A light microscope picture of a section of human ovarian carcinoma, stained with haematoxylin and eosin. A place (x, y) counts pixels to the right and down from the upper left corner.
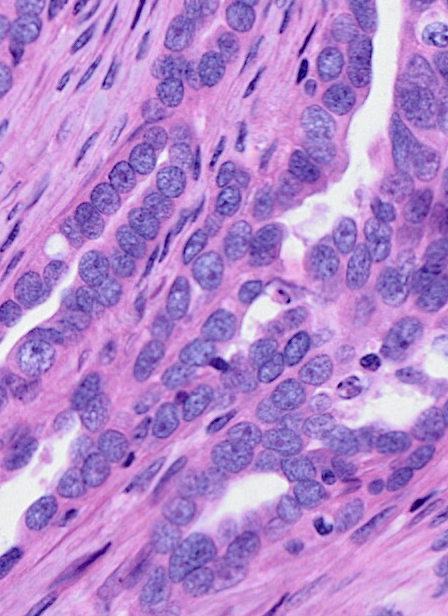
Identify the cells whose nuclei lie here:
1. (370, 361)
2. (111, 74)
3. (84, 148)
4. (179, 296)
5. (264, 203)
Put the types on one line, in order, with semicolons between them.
lymphocyte; fibroblast; fibroblast; carcinoma cell; carcinoma cell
